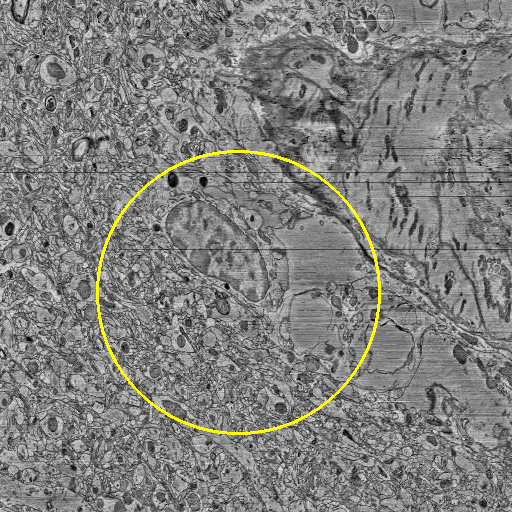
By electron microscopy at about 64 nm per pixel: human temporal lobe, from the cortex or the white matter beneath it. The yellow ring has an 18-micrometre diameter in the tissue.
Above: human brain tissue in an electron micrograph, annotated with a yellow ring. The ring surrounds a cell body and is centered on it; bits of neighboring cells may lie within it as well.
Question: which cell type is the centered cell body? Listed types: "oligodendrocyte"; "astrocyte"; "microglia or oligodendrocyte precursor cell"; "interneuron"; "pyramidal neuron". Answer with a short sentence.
The centered cell body is a microglial cell or oligodendrocyte precursor cell.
